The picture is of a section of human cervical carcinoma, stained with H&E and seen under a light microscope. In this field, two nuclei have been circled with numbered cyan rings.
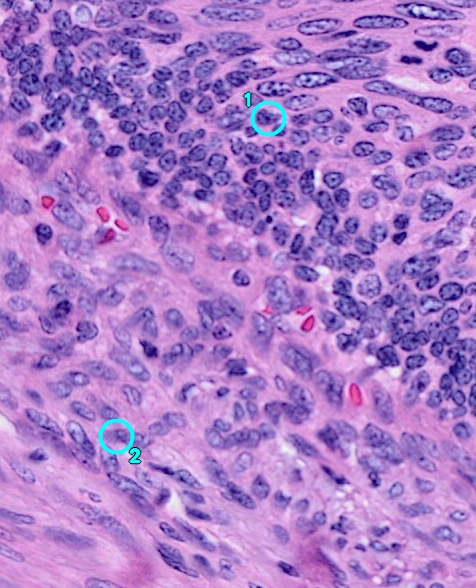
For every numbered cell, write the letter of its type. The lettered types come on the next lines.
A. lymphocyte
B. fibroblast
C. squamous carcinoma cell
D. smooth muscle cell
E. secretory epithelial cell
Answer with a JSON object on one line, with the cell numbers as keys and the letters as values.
{"1": "C", "2": "D"}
